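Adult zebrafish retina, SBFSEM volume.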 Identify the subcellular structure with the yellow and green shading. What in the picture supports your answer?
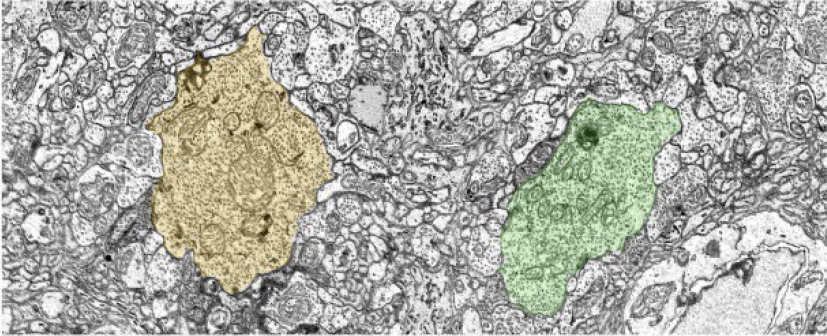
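Large bipolar cell axons. Two shaded profiles far larger than the surrounding neurites. Both profiles are densely filled with small round vesicles. Several larger round membrane-bound profiles lie inside them.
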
